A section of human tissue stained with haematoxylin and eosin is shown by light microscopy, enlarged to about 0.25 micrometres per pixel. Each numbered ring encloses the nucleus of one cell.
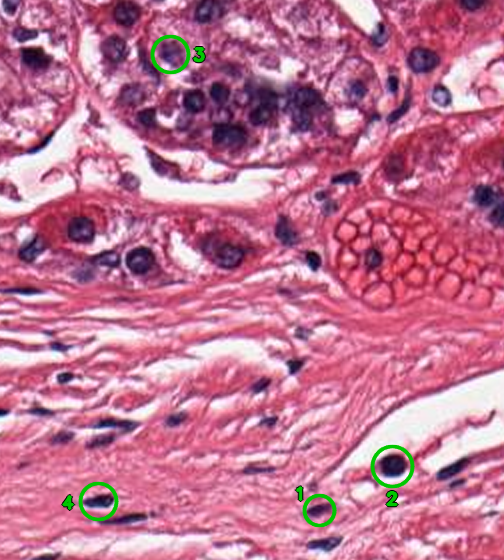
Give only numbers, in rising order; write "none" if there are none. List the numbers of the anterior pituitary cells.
3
